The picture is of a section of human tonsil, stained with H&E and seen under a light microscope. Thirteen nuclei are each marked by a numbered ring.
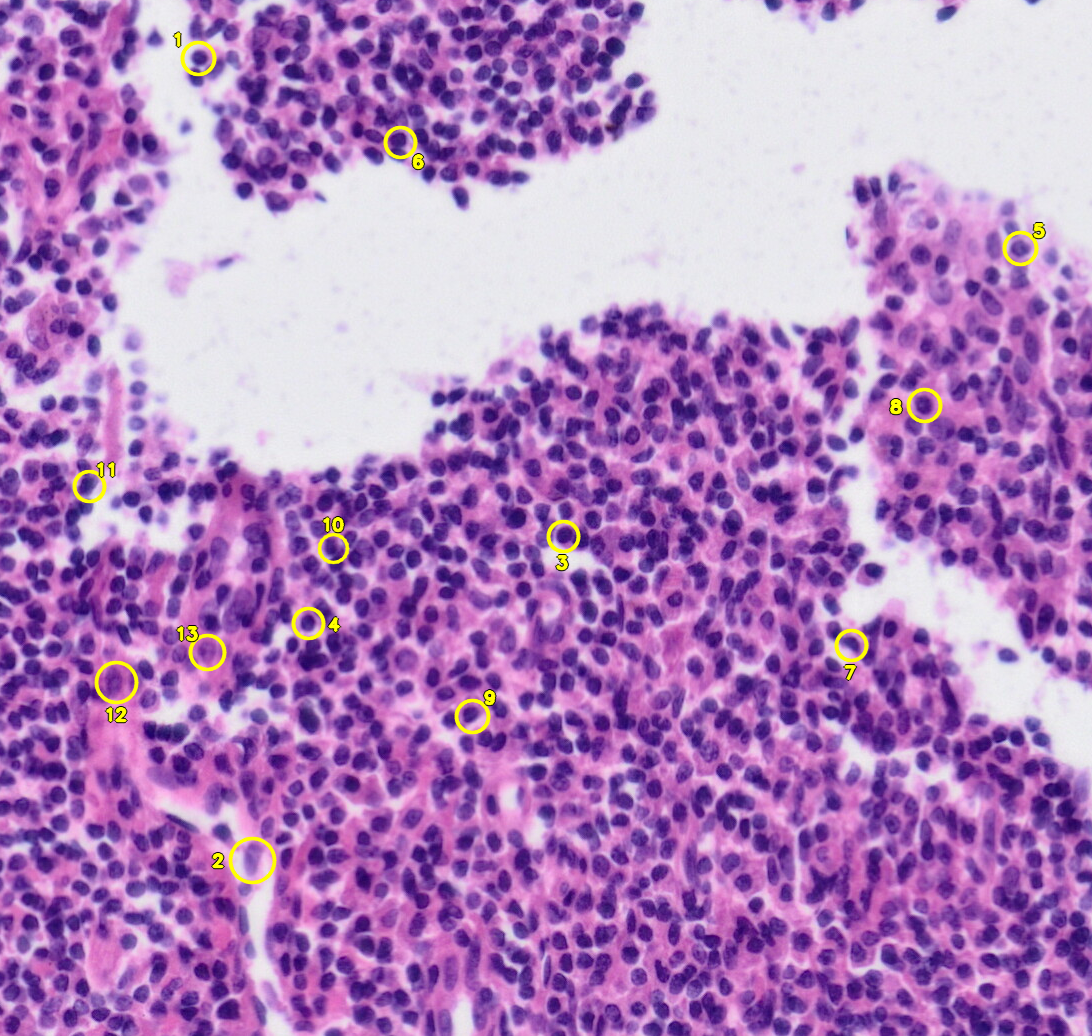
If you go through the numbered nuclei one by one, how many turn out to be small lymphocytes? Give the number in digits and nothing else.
7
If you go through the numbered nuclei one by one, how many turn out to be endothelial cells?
3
